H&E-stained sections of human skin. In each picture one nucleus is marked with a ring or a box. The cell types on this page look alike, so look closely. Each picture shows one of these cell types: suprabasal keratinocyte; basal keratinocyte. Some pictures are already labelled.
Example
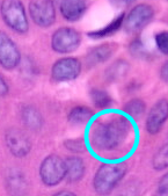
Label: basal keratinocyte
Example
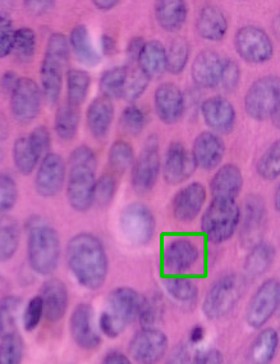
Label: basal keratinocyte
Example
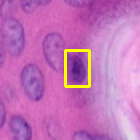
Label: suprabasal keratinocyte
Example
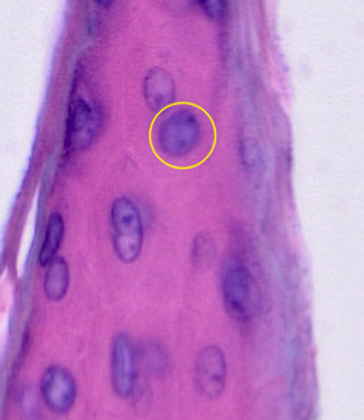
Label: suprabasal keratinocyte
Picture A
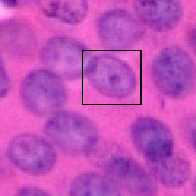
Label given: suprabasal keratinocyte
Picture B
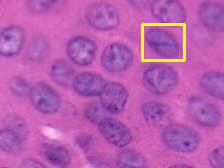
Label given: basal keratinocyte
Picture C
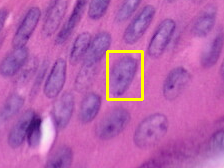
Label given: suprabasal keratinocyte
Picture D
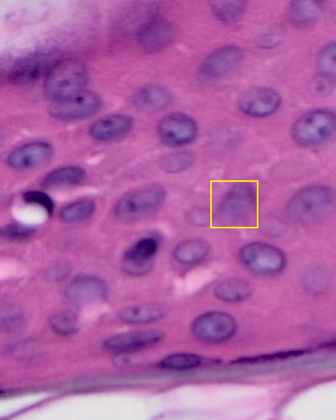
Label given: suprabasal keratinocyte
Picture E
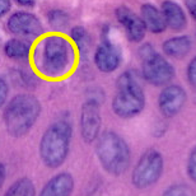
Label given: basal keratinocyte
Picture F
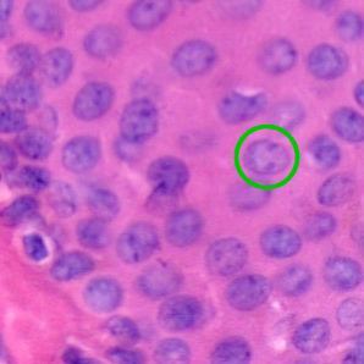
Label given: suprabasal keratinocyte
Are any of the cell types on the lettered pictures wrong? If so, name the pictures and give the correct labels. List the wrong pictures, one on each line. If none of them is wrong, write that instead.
Wrong: B (basal keratinocyte); correct: suprabasal keratinocyte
